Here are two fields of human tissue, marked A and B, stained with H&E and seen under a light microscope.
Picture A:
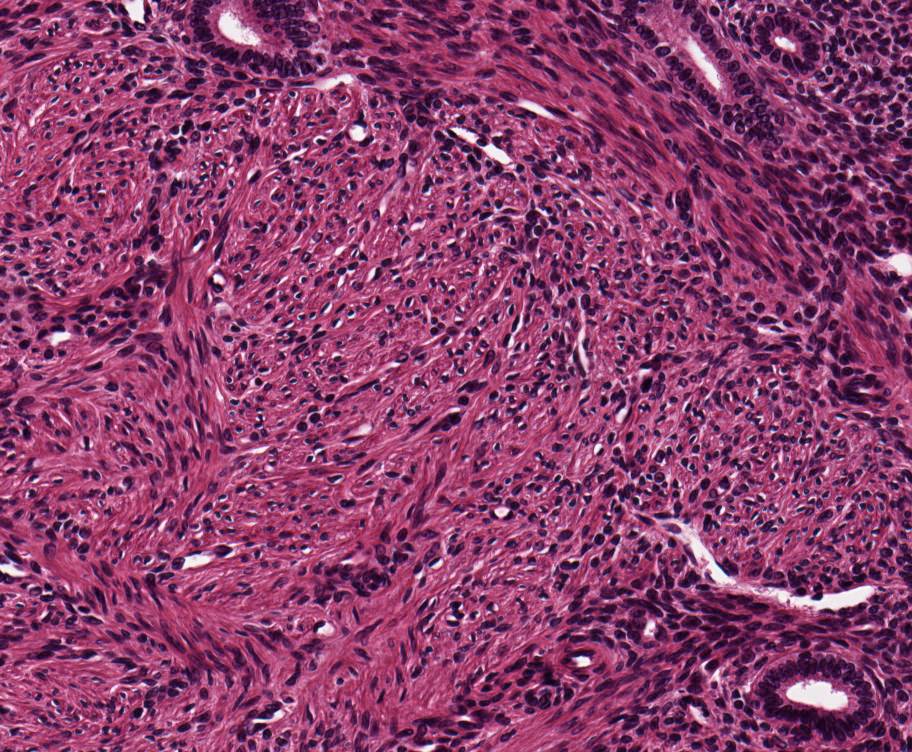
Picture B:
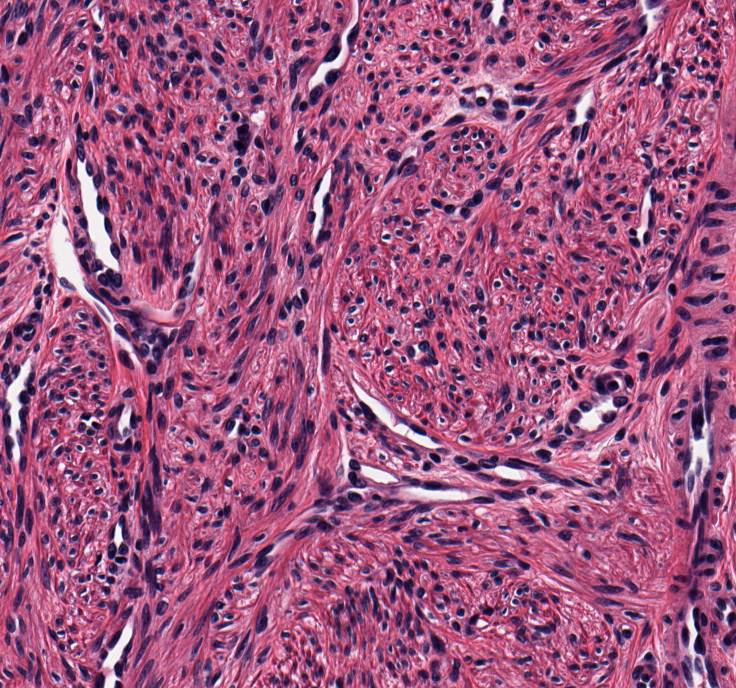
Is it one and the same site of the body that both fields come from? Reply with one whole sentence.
Yes; both pictures come from the body of the uterus.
